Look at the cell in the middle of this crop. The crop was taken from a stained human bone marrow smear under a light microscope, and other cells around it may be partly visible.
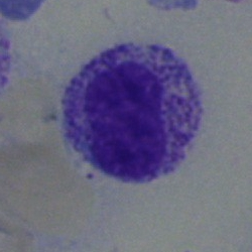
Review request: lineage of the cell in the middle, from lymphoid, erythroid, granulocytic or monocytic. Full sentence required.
The cell sitting in the middle of this crop is of the granulocytic line.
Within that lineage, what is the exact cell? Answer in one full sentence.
Among the cells in view, the one in the middle is a myelocyte.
